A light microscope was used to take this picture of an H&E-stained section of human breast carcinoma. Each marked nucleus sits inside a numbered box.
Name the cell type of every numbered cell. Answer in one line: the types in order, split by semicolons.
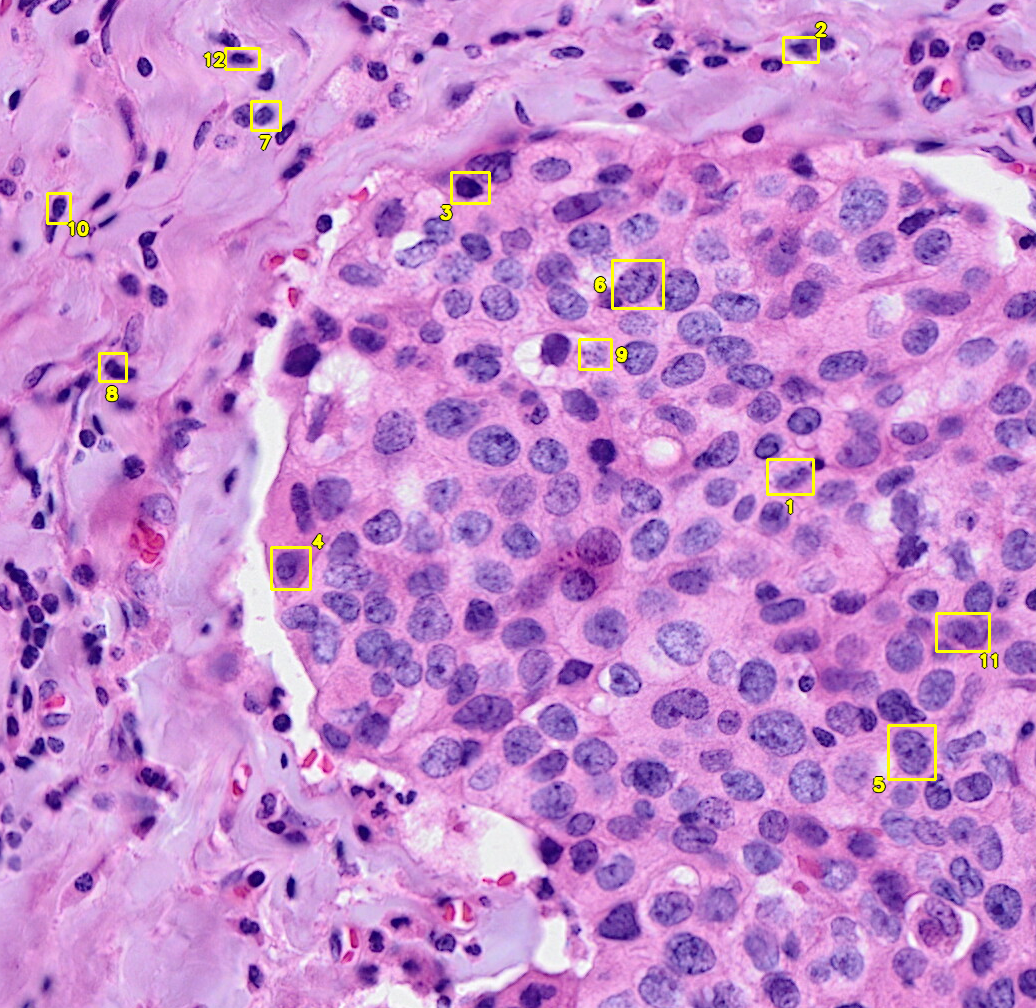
carcinoma cell; lymphocyte; carcinoma cell; carcinoma cell; carcinoma cell; carcinoma cell; lymphocyte; lymphocyte; carcinoma cell; lymphocyte; carcinoma cell; lymphocyte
